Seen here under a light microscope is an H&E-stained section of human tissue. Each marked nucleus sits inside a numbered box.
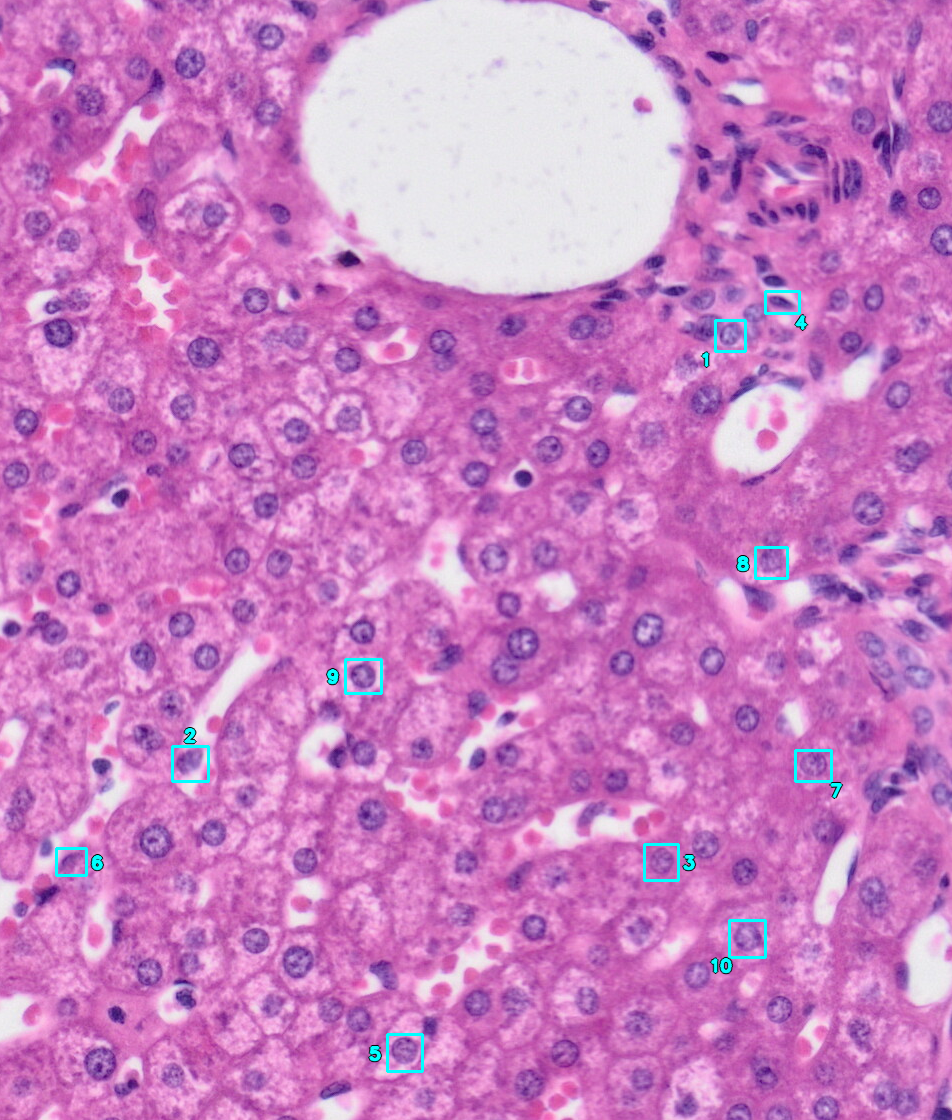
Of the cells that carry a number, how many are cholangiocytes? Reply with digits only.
1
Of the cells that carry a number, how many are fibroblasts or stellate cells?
1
